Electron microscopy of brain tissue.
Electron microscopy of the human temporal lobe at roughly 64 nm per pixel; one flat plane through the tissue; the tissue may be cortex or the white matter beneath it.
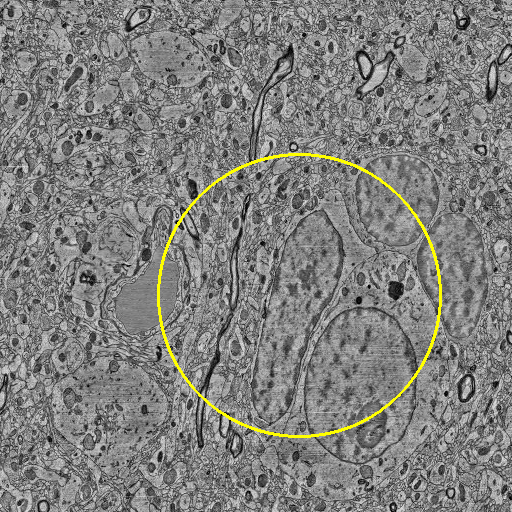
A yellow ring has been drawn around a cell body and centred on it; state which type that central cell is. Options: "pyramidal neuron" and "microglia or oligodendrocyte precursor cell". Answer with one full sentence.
The cell at the middle of the yellow ring is a microglial cell or oligodendrocyte precursor cell in this picture.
